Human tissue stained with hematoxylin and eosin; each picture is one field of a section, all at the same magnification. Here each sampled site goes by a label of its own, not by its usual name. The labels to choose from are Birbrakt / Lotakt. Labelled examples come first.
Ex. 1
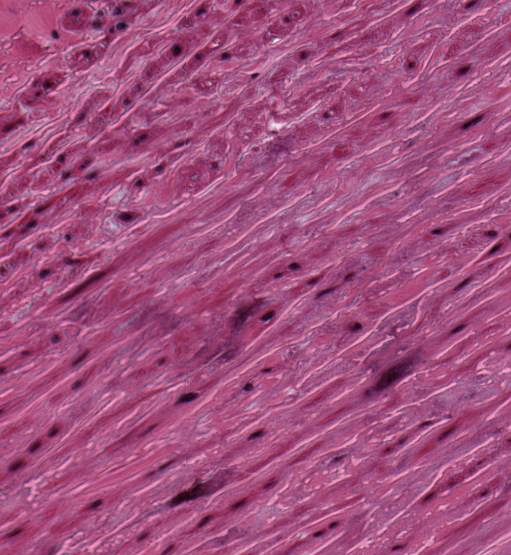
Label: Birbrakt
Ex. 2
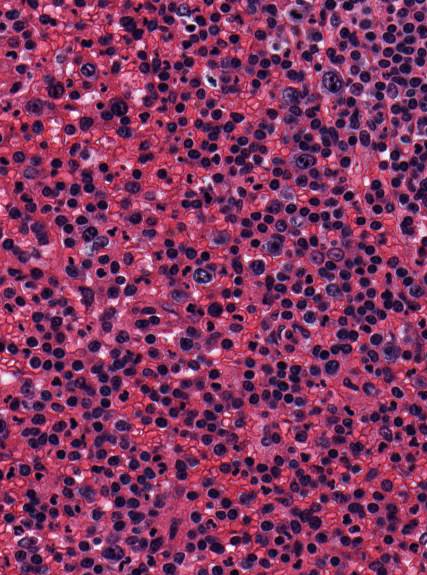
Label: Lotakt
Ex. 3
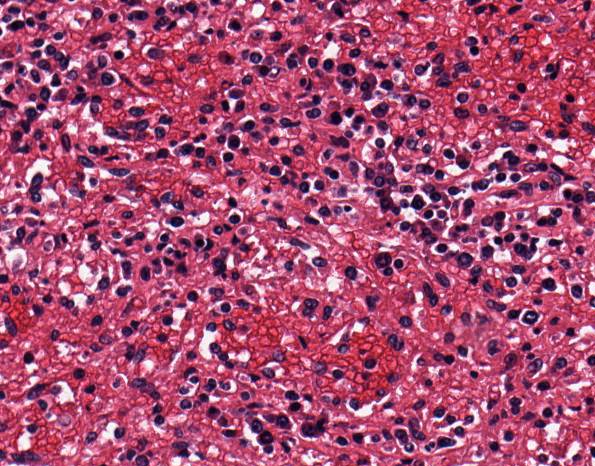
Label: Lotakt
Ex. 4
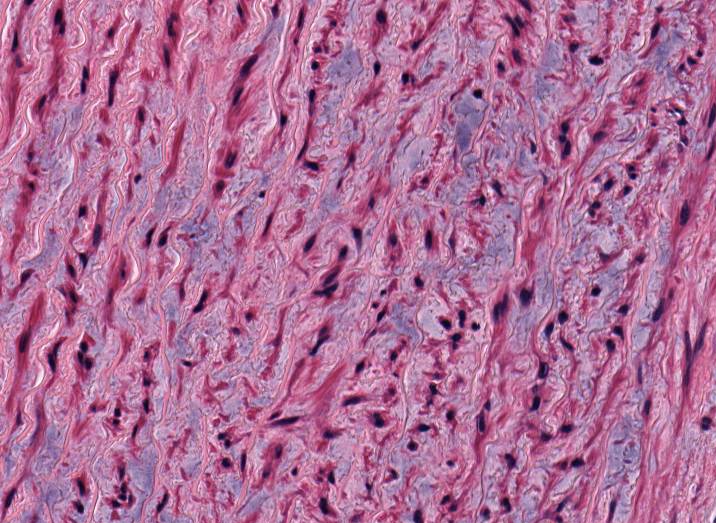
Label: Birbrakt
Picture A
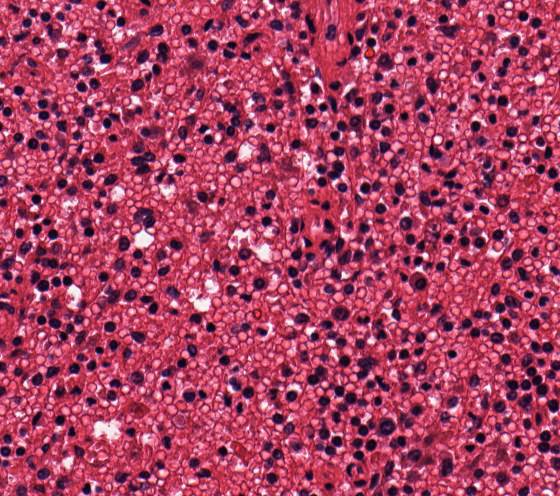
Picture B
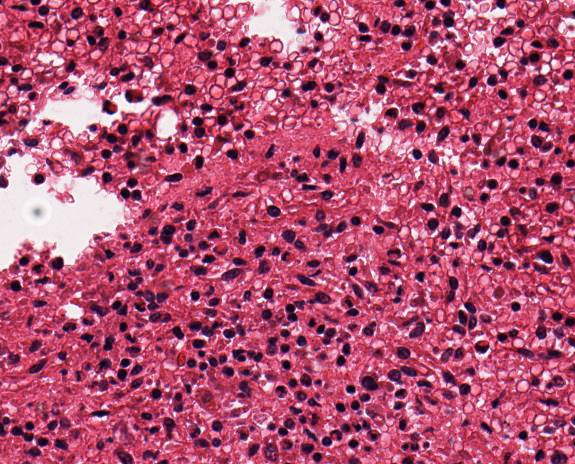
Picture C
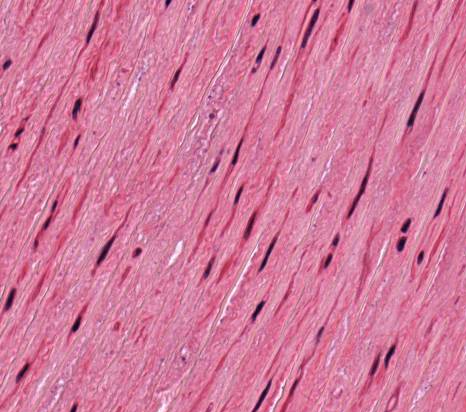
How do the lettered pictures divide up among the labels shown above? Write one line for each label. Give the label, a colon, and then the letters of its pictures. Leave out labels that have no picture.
Birbrakt: C
Lotakt: A, B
